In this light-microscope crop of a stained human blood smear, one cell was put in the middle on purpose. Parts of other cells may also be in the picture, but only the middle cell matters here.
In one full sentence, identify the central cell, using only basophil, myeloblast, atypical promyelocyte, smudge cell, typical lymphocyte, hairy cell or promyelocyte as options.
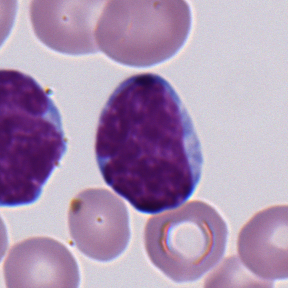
The middle of this crop holds a typical lymphocyte.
